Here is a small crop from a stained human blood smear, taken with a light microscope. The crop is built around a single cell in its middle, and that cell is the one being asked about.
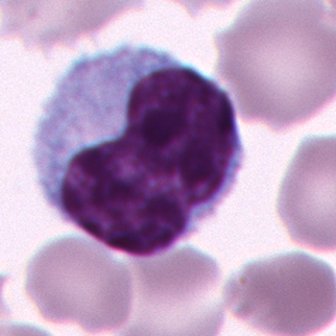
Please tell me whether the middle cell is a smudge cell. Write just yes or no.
no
